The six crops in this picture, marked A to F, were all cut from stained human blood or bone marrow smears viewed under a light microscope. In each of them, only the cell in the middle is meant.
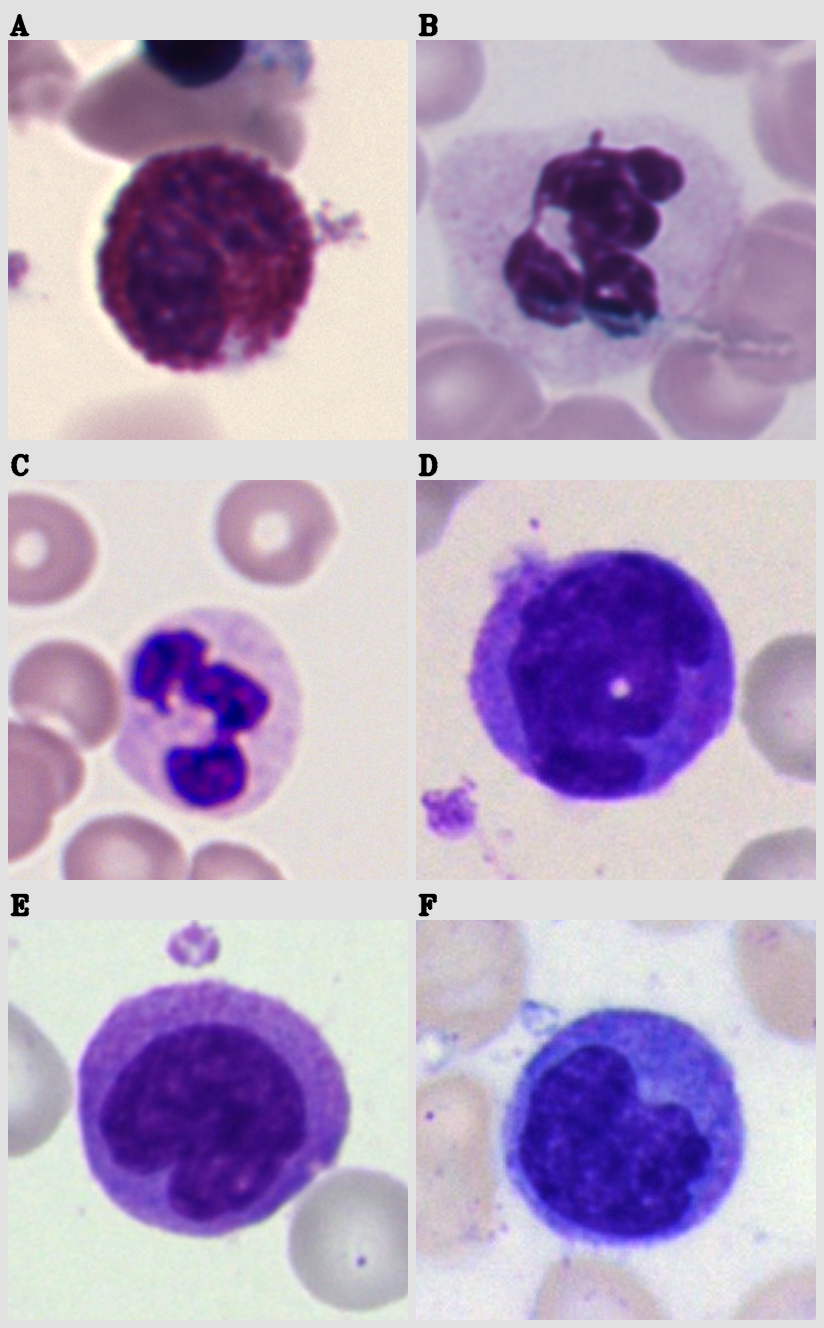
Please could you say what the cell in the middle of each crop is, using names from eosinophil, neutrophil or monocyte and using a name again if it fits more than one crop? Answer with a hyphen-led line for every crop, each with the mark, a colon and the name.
- A: eosinophil
- B: neutrophil
- C: neutrophil
- D: monocyte
- E: monocyte
- F: monocyte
